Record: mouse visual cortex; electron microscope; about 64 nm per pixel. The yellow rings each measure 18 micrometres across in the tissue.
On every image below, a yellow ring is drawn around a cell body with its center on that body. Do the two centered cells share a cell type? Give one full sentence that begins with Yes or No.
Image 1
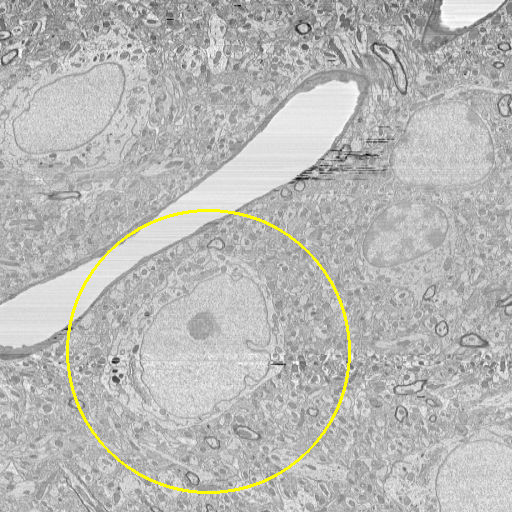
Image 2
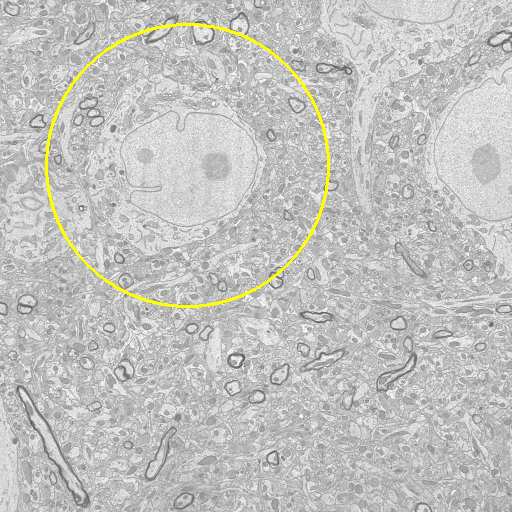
No, the centered cells in the two images are of two separate cell types.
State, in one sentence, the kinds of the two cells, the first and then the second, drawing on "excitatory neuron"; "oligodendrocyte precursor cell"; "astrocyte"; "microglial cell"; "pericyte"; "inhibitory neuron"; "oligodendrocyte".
The ring in the second picture is centred on an excitatory neuron, the ring in the first on an inhibitory neuron.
